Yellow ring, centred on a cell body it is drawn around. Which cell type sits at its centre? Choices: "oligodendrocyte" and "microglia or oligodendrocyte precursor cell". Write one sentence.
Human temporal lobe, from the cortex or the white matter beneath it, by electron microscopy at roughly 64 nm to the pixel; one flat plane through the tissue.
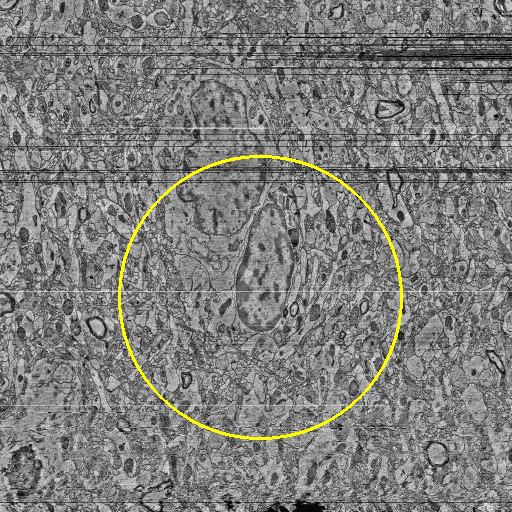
At the centre of the ring sits a microglial cell or oligodendrocyte precursor cell.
